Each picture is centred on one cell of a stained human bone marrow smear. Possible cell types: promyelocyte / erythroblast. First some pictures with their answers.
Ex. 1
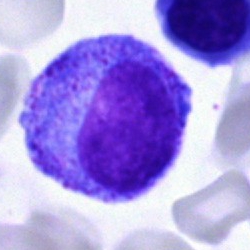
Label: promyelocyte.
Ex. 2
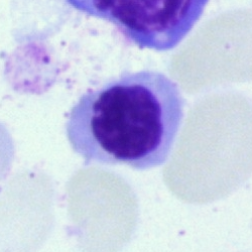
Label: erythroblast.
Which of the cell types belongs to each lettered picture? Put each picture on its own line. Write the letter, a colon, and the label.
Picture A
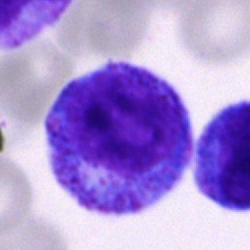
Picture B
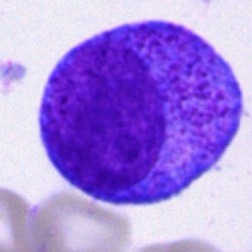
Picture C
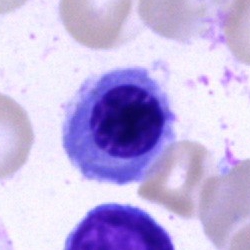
A: promyelocyte.
B: promyelocyte.
C: erythroblast.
